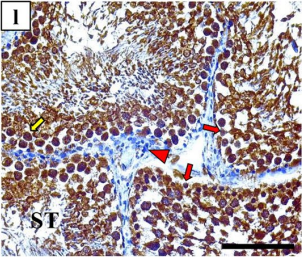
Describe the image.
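Seminiferous tubules are packed with stratified germ cells whose round nuclei stain strongly brown, with spermatogonia in the basal row against the tubule wall and Sertoli cells at the base of the epithelium. Between the tubules lies a narrow, blue-counterstained interstitium containing Leydig cells.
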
